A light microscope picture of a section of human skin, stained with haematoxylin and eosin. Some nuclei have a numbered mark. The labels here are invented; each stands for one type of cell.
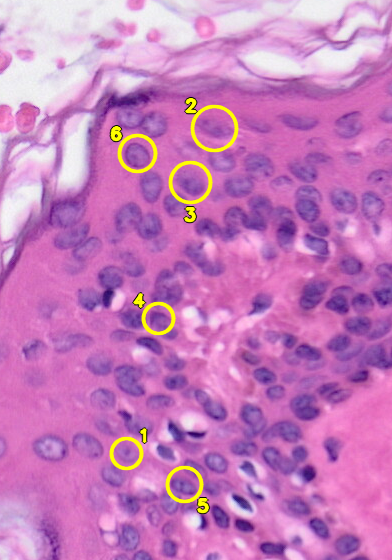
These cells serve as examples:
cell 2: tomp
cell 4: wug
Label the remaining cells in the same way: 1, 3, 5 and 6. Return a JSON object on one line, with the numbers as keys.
{"1": "tomp", "3": "tomp", "5": "wug", "6": "tomp"}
